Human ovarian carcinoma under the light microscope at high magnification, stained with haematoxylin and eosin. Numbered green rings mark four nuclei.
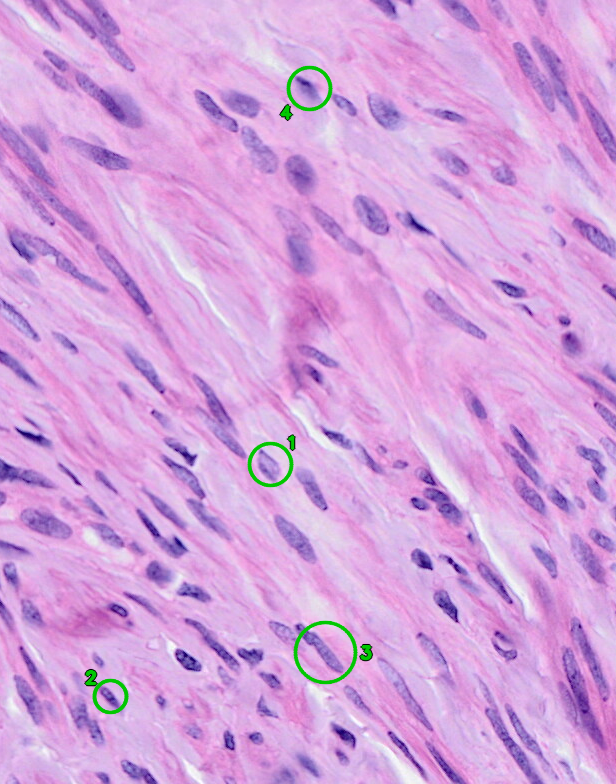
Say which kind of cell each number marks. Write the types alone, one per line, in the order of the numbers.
fibroblast
smooth muscle cell
smooth muscle cell
fibroblast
